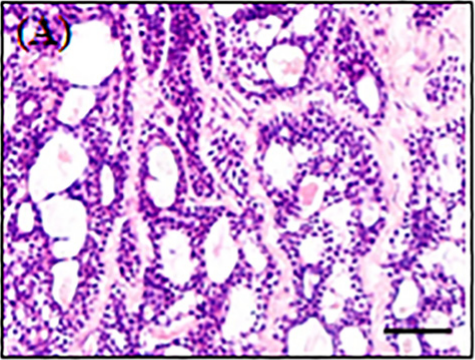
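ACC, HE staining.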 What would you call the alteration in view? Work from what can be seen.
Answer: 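Nests of small, dark-nucleated cells are perforated by many round, punched-out spaces. The spaces hold pale or pink material. Nests are separated by thin pink stroma. So: cribriform growth patterns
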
